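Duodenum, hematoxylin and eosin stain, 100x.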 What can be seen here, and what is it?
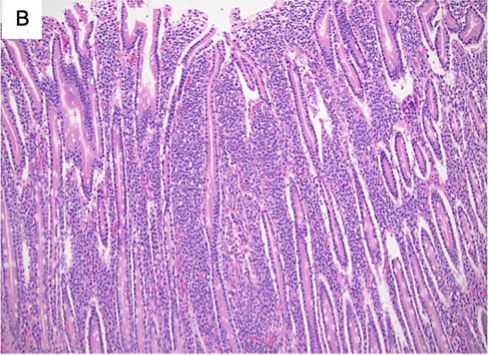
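This view shows intestinal mucosa with elongated crypts and glands cut lengthwise and across. The glands are lined by a single layer of tall columnar epithelial cells with basal purple nuclei and pink cytoplasm. Between the glands, the lamina propria is crowded with many small cells with round, dark nuclei and scant cytoplasm, typical of chronic inflammatory cells. This dense cellular stroma widens the spaces between the glands and pushes them apart.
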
